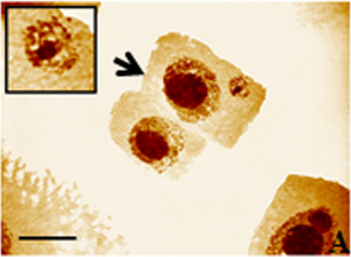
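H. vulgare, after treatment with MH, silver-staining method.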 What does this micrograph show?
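These are root meristematic cells with a micronucleus: polygonal cells with finely granular, pale brown cytoplasm each hold a large, round, darkly stained nucleus. In the arrowed cell a much smaller round dark body lies in the cytoplasm separate from the main nucleus, and it is shown enlarged in the framed inset.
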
